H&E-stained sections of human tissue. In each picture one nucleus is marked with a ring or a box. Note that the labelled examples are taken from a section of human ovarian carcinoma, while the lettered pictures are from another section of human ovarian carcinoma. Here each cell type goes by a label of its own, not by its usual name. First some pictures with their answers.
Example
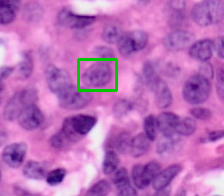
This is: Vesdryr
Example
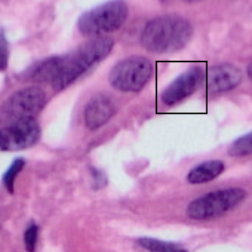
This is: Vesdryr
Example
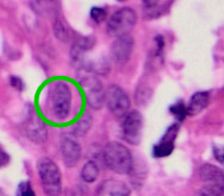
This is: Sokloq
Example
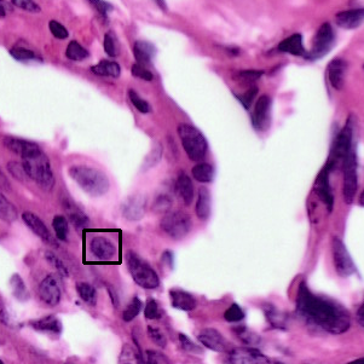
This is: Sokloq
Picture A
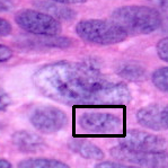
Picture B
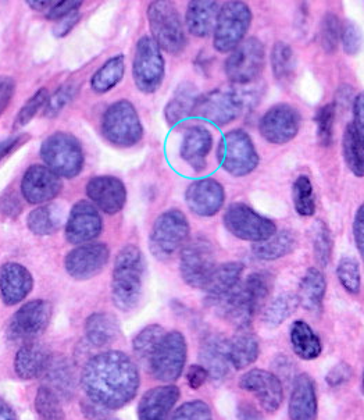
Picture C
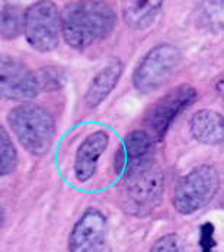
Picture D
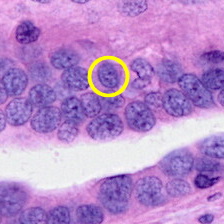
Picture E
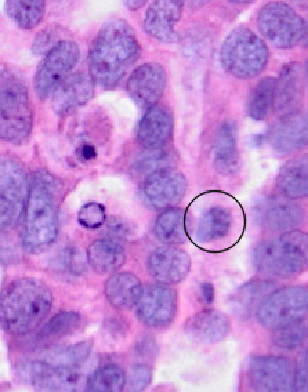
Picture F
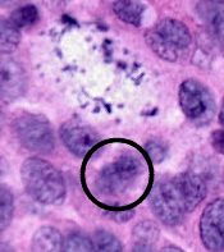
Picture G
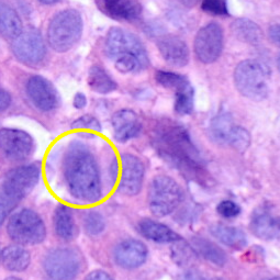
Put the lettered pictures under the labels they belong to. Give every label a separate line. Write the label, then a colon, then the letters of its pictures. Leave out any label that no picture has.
Vesdryr: A, B, D, F, G
Sokloq: C, E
